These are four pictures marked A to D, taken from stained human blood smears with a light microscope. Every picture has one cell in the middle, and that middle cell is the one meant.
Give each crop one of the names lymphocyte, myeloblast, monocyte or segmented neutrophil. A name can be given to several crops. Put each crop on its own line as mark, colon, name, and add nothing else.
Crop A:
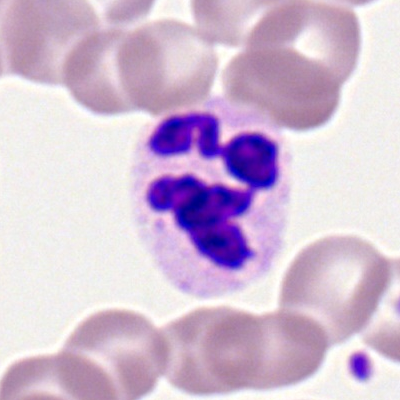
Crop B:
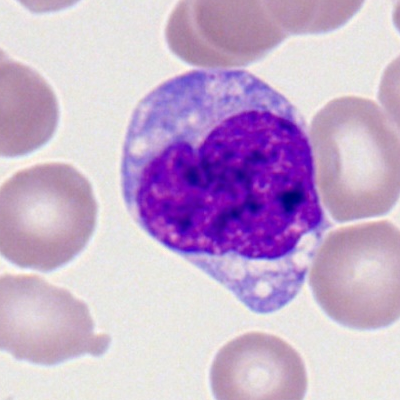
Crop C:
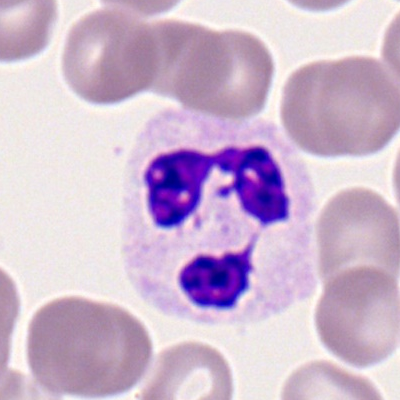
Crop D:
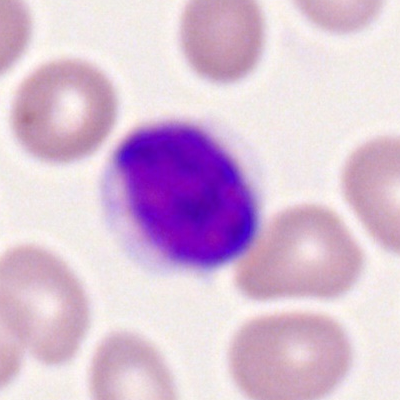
A: segmented neutrophil
B: monocyte
C: segmented neutrophil
D: lymphocyte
